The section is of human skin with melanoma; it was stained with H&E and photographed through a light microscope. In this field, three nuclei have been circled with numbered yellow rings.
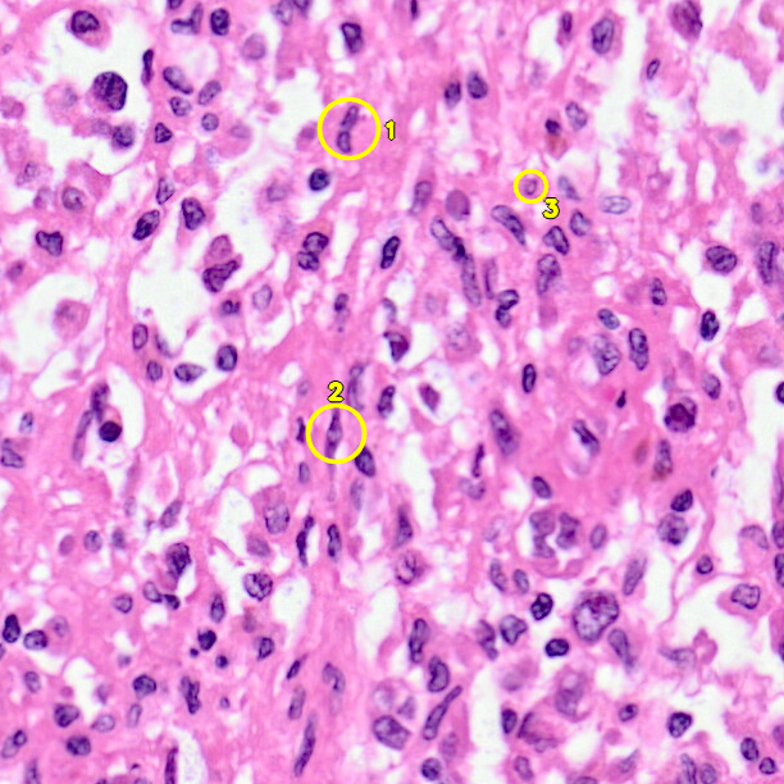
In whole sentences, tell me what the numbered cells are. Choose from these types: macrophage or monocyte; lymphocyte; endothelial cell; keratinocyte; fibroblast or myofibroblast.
Cells 1 and 3 are macrophages or monocytes. Cell 2 is a fibroblast or myofibroblast.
